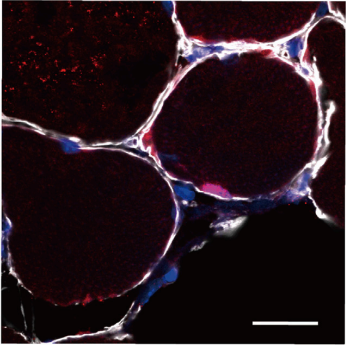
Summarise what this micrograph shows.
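Cross section of skeletal muscle with several large rounded polygonal fibers. Each fiber is outlined by a continuous white rim, thicker in the spaces between fibers. Small blue nuclei lie at the fiber peripheries and in the interstitium between fibers. The fiber interiors are dark with faint speckled background.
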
